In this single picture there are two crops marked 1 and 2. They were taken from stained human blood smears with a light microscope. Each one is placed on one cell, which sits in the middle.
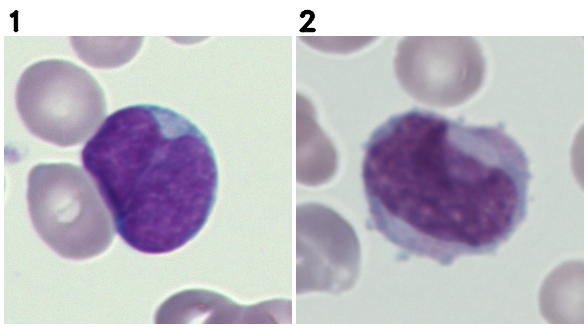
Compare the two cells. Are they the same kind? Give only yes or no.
no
